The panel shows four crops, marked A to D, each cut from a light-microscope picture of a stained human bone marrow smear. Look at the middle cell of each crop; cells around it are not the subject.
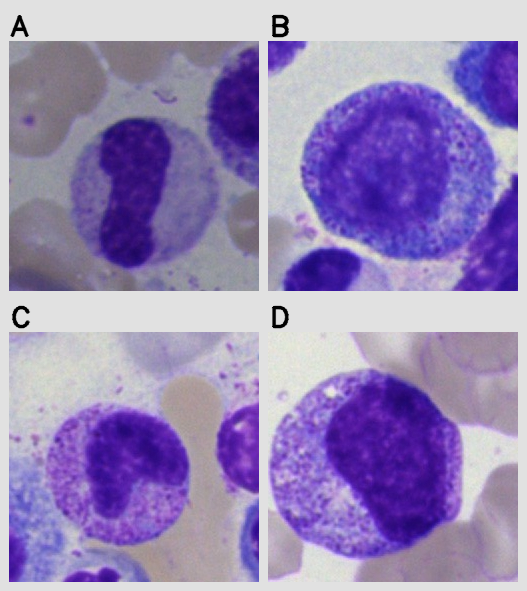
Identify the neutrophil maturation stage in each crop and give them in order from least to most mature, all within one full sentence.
The order, going from least to most mature, is crop B (a promyelocyte), crop D (a myelocyte), crop C (a metamyelocyte) and crop A (a band neutrophil).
